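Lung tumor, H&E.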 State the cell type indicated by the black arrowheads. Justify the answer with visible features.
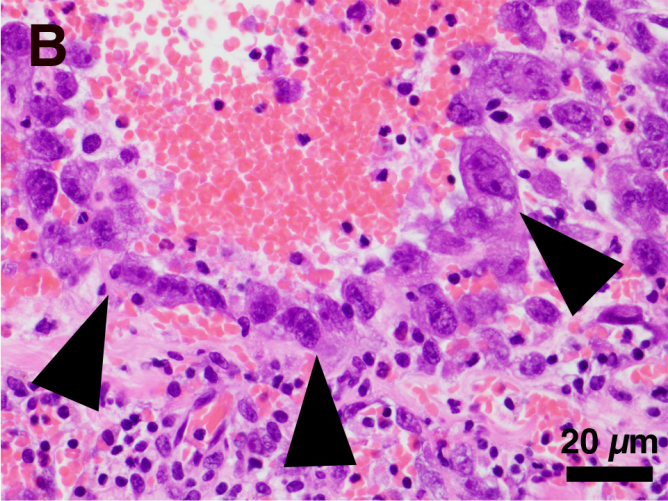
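Large cells with bulging, hyperchromatic nuclei line a blood-filled space. Nuclei protrude toward the space. So: hobnail‐like atypical cells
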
